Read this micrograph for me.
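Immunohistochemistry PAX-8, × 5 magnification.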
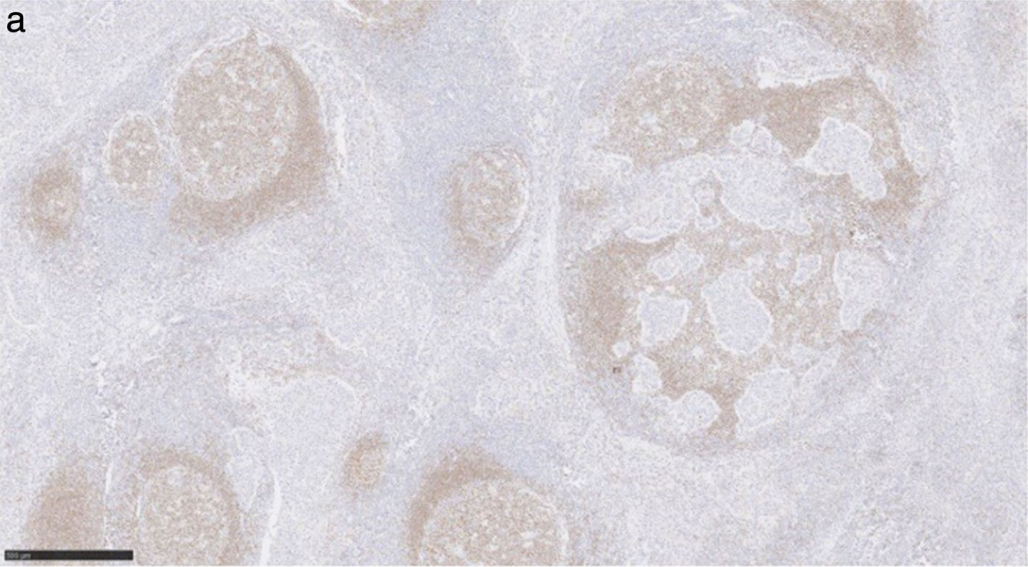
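At low power, lymphoid tissue holds many round to oval nodules of varying size. The paler tissue between the nodules is only weakly stained. These are lymphoid follicles with germinal centres.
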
